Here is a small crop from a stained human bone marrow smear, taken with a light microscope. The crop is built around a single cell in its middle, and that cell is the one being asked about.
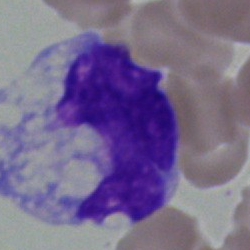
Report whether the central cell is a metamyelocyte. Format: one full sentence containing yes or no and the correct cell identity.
No, the cell positioned in the middle is a monocyte, not a metamyelocyte.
